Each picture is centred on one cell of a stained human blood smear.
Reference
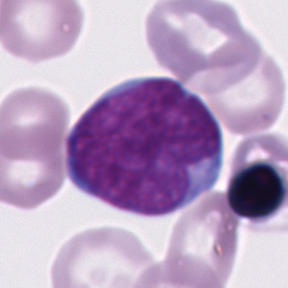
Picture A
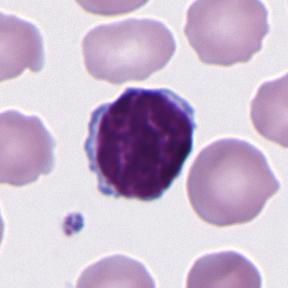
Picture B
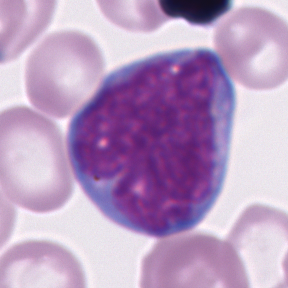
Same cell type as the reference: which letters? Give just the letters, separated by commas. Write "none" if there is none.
B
